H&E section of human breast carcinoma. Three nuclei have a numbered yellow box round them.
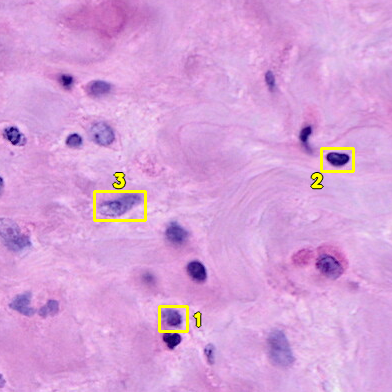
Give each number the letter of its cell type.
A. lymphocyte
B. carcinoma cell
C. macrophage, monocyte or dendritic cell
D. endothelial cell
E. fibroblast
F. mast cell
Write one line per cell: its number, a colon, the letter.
1: A
2: A
3: E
